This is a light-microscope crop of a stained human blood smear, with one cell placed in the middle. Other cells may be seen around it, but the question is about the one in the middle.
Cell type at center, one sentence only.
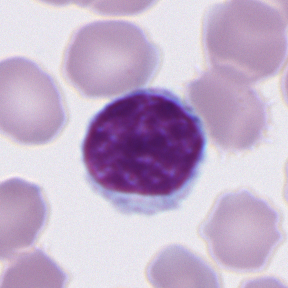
In the crop, the cell of interest at the centre is a lymphocyte.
